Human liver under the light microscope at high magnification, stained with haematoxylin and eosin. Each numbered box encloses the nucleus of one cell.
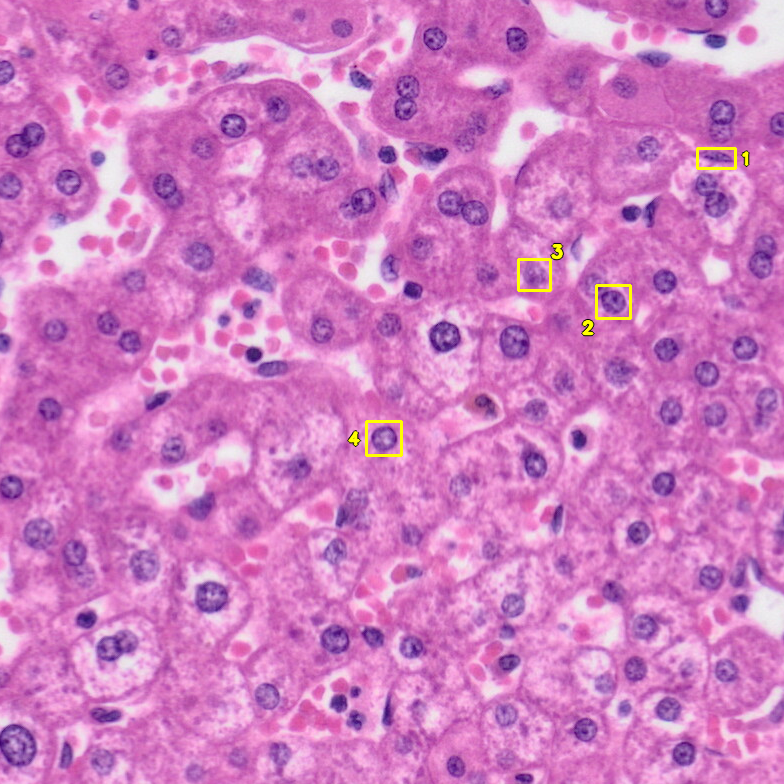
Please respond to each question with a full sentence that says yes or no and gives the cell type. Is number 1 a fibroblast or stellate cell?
Yes, the cell at marker 1 is a fibroblast or stellate cell.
